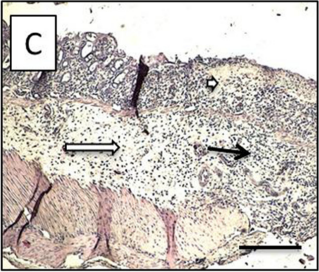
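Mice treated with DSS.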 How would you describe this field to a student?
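The mucosa contains few, irregular crypts and is packed with cells with dark nuclei; pale mucus-filled epithelial cells are scarce. The submucosa is broad and pale, with loosely spaced cells in a clear, swollen matrix, and contains denser patches of small cells with dark nuclei, an inflammatory infiltrate. Dark folded artefacts of the section cross the mucosa. The normal thin, compact layering of the colon wall is lost.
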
